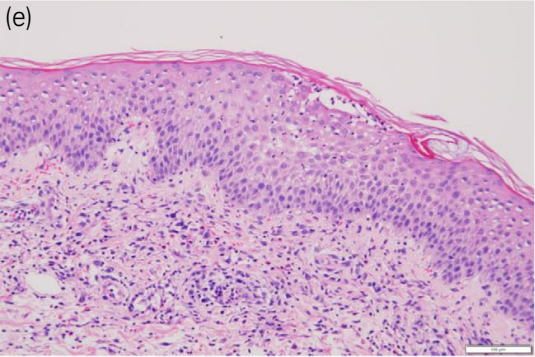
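This is skin showing epidermis above and dermis below, with an inflammatory infiltrate in the dermis. The epidermis is a stratified squamous layer of pink keratinocytes under a thin, pink cornified layer, with a small collection of inflammatory cells just beneath the cornified layer at the upper right. The dermis below is loose and pale pink, and contains many scattered small cells with dark nuclei, both gathered around small blood vessels and spread between the collagen fibres. The junction between epidermis and dermis is irregular, and the upper dermis appears somewhat swollen.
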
